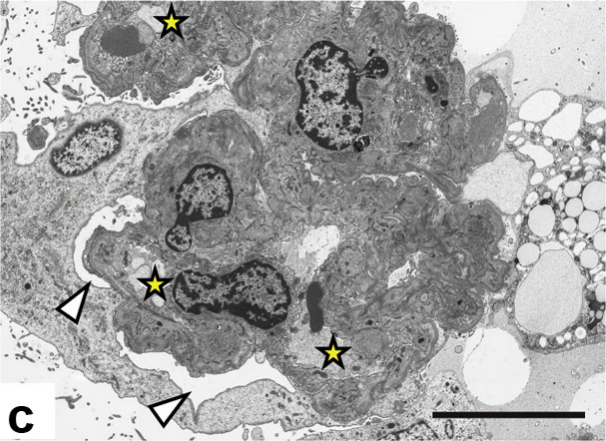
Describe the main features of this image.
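This is a collapsed glomerular tuft in which hypertrophied podocytes with irregular, lobulated nuclei crowd around narrowed capillaries whose basement membranes are wrinkled and folded. The capillary lumens are reduced to small slits, and pale widened spaces open beneath the overlying cells at the tuft's edge, while cells at the side hold many clear vacuoles.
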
